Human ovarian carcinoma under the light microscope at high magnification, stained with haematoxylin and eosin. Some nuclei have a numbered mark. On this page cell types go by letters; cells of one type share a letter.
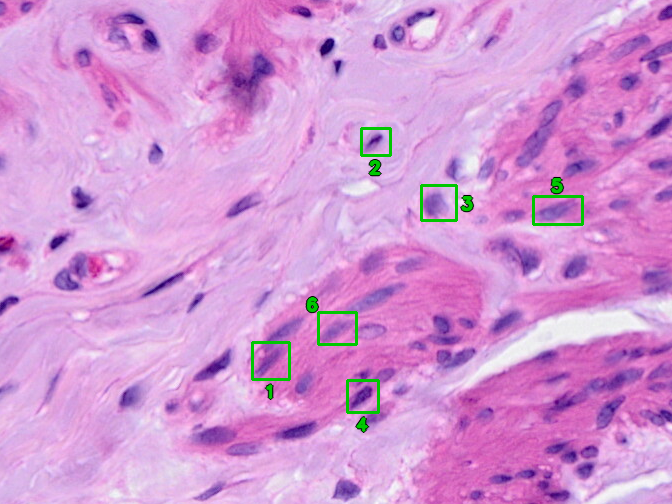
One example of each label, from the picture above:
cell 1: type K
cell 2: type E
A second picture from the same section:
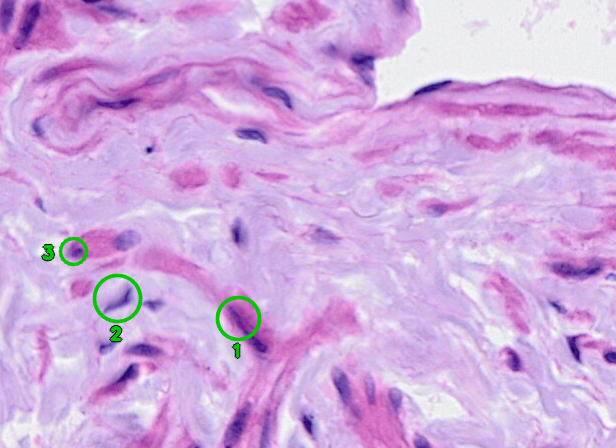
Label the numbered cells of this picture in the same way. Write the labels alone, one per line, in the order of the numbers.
type K
type E
type K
